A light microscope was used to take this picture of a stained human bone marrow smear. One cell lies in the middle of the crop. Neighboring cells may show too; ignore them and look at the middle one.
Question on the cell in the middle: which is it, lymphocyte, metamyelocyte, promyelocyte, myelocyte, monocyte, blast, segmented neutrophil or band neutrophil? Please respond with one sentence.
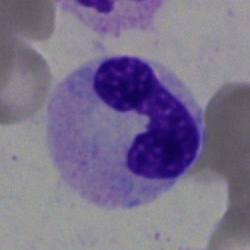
For this crop, the central cell is a band neutrophil.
